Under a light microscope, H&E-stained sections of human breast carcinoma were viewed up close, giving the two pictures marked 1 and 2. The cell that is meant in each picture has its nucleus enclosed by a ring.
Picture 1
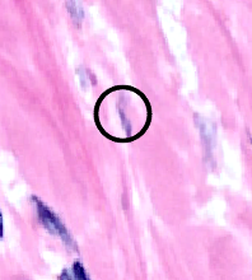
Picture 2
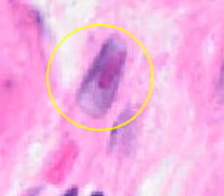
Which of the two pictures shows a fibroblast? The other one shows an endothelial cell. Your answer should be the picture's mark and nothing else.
1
